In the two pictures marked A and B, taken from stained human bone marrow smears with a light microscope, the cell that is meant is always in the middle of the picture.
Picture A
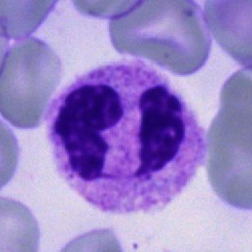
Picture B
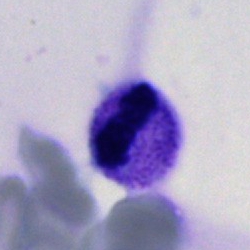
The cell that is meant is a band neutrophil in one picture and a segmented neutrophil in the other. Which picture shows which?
A: segmented neutrophil
B: band neutrophil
